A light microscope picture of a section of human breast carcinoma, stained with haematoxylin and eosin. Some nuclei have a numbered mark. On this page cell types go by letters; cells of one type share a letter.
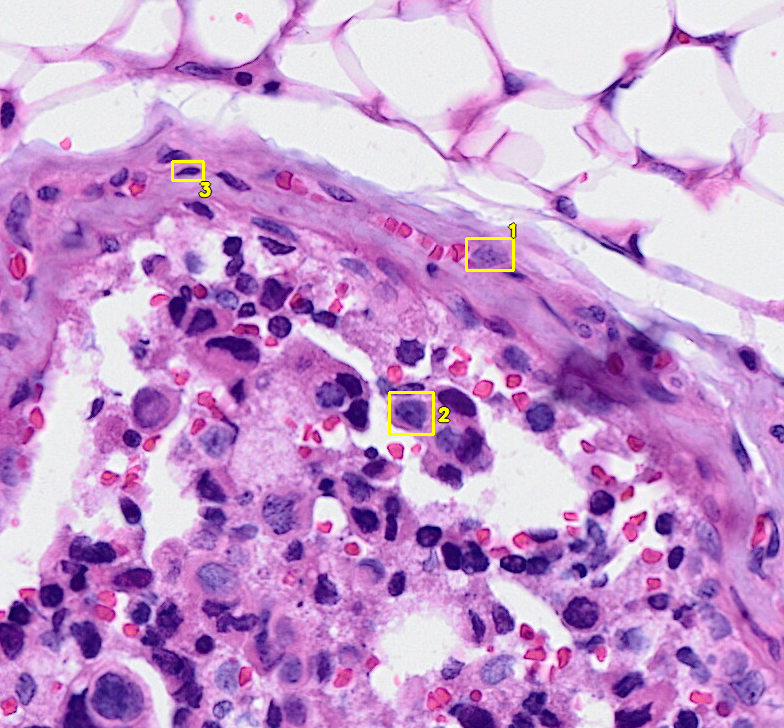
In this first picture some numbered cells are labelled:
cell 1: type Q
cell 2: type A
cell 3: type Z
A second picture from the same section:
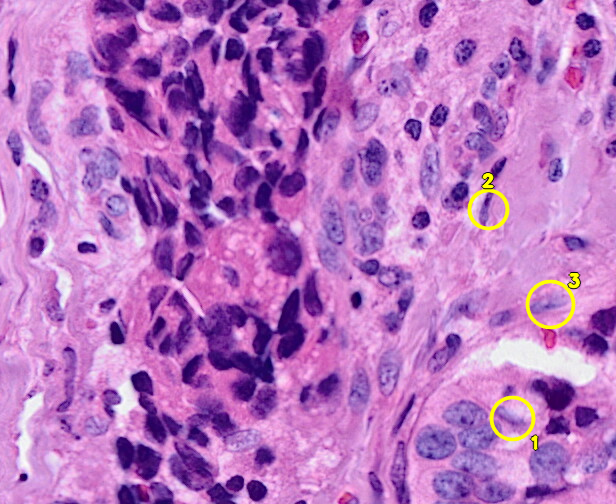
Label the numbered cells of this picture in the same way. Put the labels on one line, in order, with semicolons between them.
type A; type Z; type Q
